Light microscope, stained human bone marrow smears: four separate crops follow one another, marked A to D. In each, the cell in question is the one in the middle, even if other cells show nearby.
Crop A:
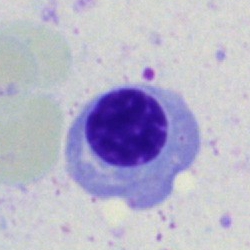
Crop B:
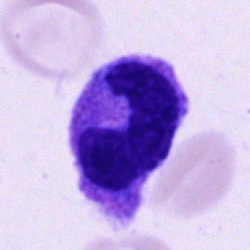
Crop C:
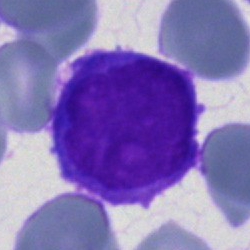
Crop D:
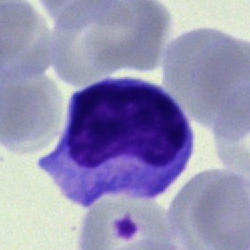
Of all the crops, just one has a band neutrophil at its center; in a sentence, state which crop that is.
Here the crop that shows a band neutrophil is crop B.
